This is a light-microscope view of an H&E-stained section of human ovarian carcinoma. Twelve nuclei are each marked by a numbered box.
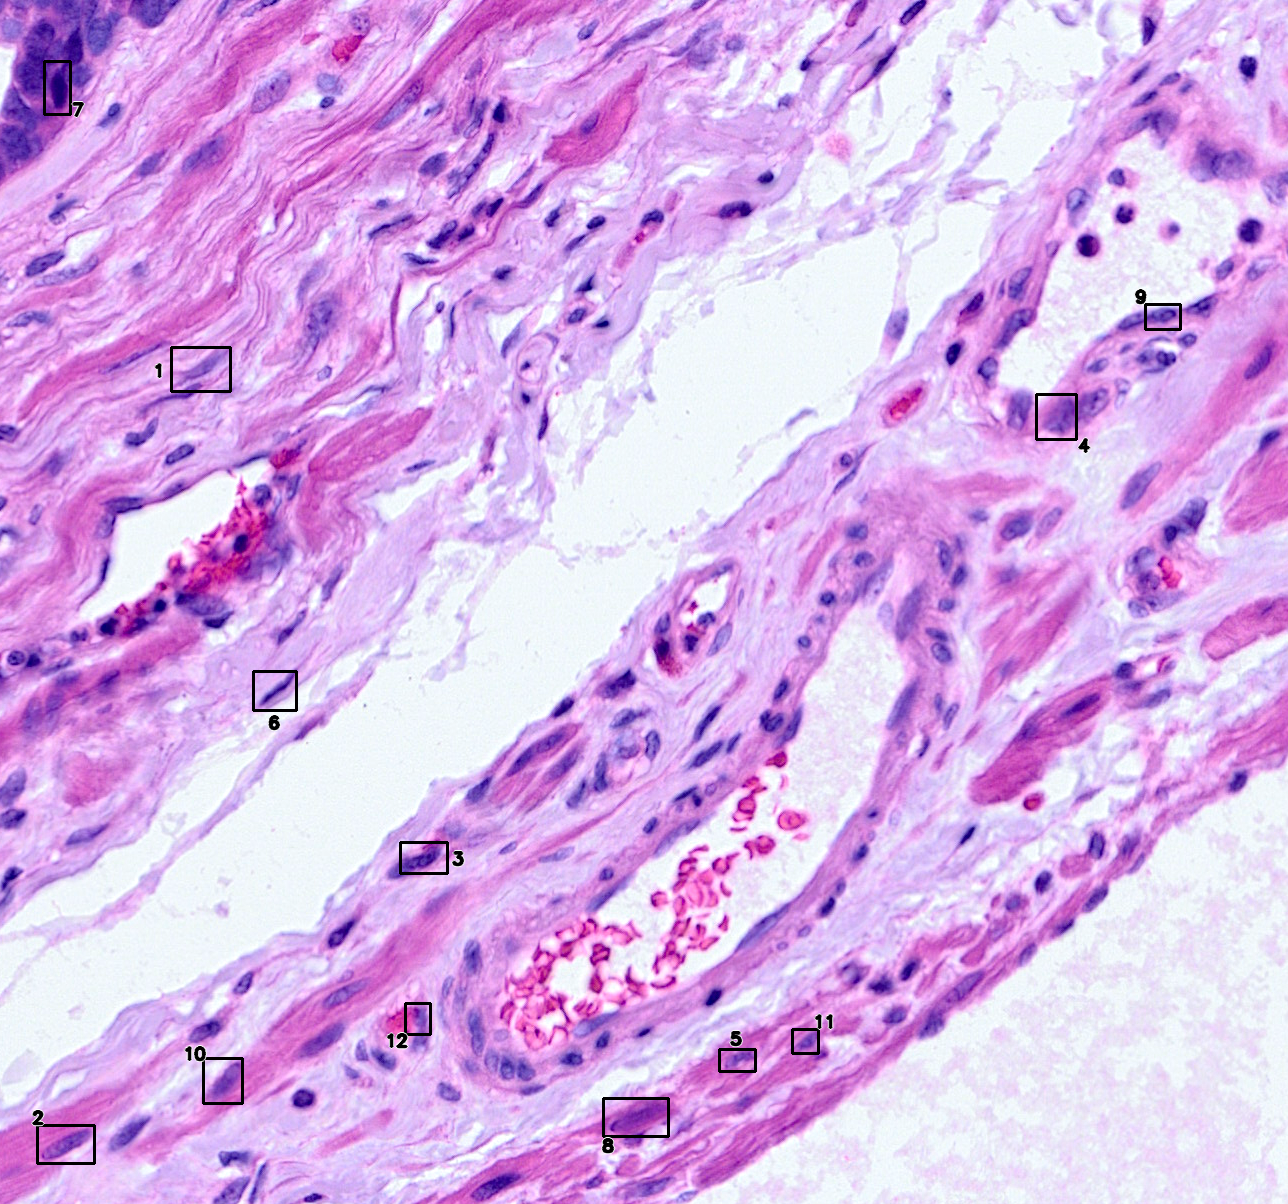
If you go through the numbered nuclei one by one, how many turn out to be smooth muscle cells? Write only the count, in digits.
5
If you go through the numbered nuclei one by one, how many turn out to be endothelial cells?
4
